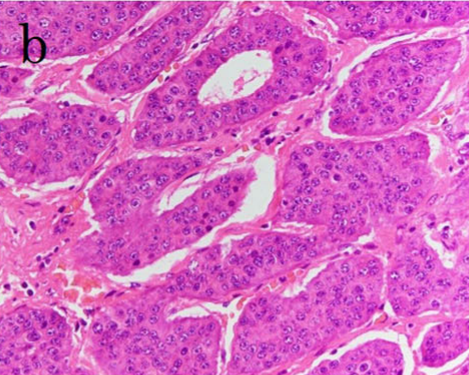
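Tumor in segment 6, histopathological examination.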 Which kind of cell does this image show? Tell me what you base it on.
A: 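Cells have round nuclei with visible nucleoli. Cytoplasm is abundant and pink. Cells are crowded and fairly uniform in size.
Atypical cells with rounded nuclei and eosinophilic cytoplasm.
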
